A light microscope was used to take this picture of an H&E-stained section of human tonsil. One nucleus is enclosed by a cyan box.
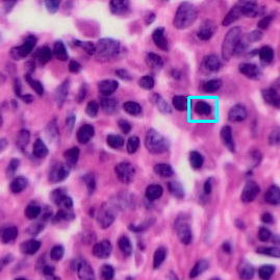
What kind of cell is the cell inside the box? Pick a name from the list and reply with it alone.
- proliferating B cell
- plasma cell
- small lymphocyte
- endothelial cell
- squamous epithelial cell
plasma cell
